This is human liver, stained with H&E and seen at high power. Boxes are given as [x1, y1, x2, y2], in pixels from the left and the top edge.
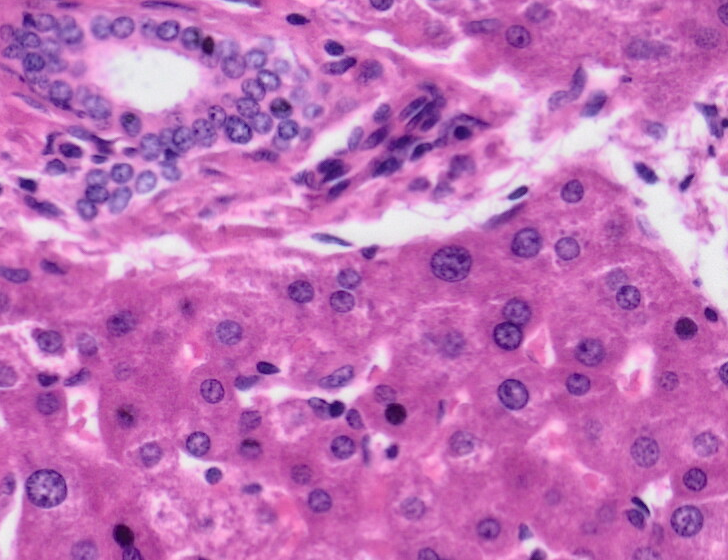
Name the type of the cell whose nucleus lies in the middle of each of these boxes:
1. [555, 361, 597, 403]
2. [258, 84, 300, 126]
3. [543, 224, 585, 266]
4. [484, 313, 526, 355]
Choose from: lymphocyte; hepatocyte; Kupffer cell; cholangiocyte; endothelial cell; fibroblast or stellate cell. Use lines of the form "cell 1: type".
cell 1: hepatocyte
cell 2: cholangiocyte
cell 3: hepatocyte
cell 4: hepatocyte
